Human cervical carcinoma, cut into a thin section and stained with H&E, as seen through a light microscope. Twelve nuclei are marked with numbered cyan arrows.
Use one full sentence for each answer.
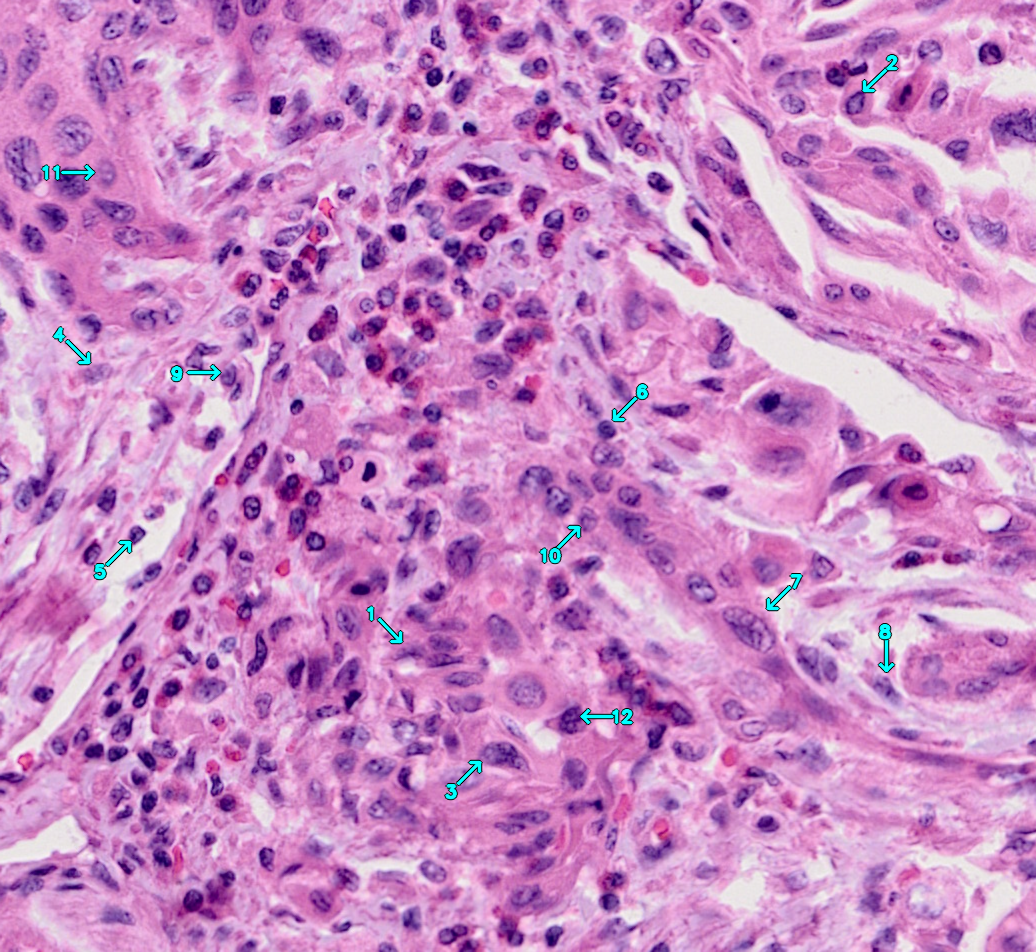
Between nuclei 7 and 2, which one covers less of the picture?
Nucleus 2 covers less area, with nucleus 7 about 4 times as large.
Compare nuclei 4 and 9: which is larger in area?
Nucleus 4 is larger, with an area about 1.5 times that of nucleus 9.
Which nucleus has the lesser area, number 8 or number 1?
Number 1 is smaller, since number 8 takes up about 1.5 times as much area.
